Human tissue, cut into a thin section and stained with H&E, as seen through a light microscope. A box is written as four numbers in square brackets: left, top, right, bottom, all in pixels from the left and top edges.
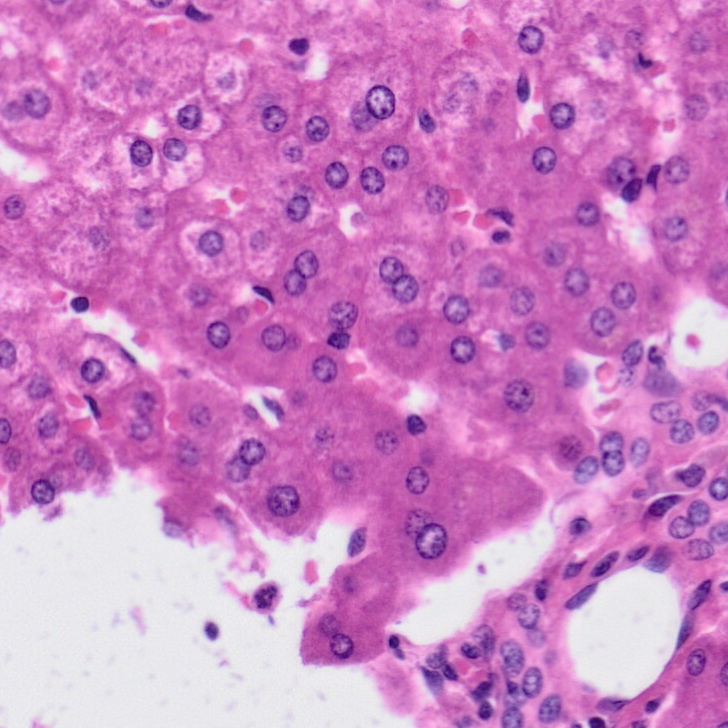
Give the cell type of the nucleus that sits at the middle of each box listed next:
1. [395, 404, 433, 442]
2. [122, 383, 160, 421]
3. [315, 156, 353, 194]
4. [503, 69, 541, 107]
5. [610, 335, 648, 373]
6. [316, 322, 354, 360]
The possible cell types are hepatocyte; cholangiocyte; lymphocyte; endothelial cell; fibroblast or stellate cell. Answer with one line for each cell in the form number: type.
1: fibroblast or stellate cell
2: hepatocyte
3: hepatocyte
4: lymphocyte
5: cholangiocyte
6: fibroblast or stellate cell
